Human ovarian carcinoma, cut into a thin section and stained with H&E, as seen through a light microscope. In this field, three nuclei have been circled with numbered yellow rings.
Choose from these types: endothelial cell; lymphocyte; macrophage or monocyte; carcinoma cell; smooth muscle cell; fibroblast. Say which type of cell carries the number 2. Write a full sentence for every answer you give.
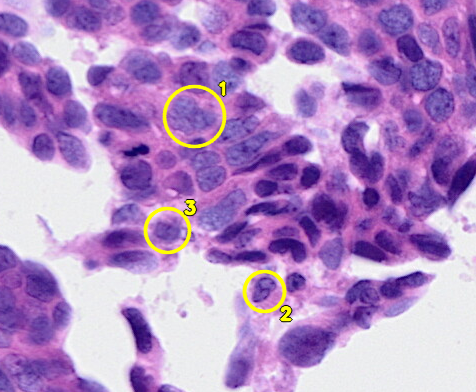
The expected answer is that cell 2 is a macrophage or monocyte.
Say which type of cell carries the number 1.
Heads up, the cell numbered 1 is a carcinoma cell.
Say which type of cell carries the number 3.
The cell indicated by marker 3 is a macrophage or monocyte in this section.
